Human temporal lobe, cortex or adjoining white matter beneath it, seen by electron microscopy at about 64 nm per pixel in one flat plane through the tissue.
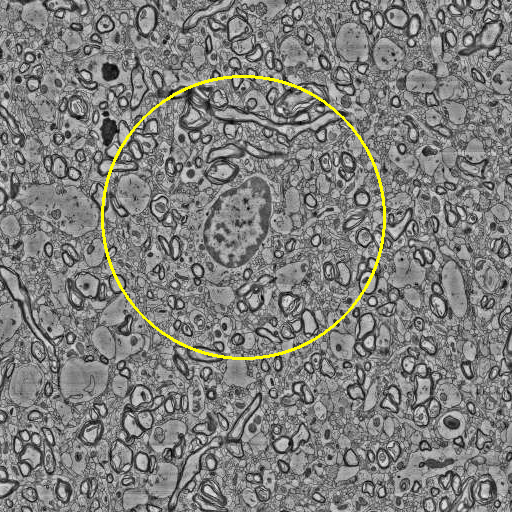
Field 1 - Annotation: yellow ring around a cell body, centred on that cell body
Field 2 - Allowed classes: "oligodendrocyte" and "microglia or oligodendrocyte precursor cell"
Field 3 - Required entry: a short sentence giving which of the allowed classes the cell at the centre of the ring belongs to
The centred cell is a microglial cell or oligodendrocyte precursor cell.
